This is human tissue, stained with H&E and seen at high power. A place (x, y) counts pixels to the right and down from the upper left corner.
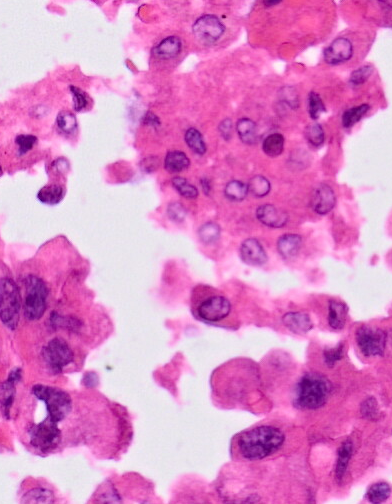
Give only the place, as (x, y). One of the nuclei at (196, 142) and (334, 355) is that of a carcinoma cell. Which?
(334, 355)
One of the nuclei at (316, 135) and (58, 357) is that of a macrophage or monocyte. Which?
(316, 135)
